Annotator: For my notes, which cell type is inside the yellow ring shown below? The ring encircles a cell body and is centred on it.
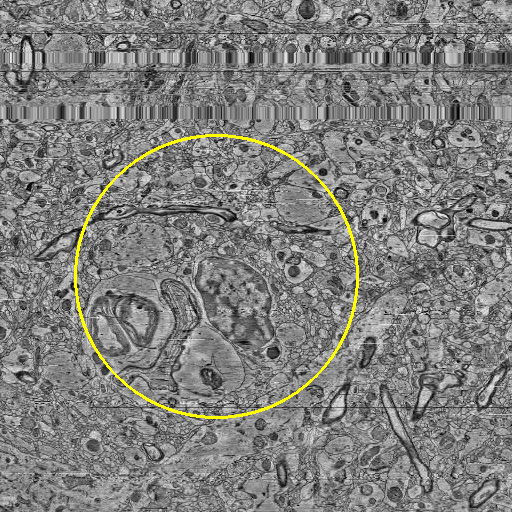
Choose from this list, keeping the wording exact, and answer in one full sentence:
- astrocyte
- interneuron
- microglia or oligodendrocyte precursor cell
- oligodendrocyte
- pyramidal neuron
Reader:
At the centre of the yellow ring there is a microglial cell or oligodendrocyte precursor cell, as shown in the picture.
